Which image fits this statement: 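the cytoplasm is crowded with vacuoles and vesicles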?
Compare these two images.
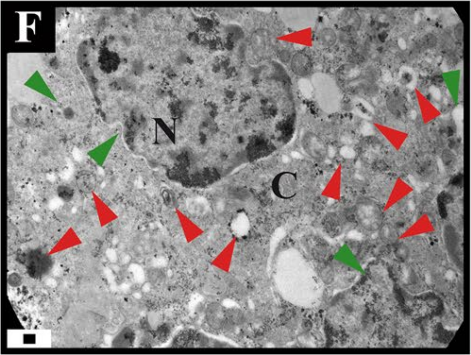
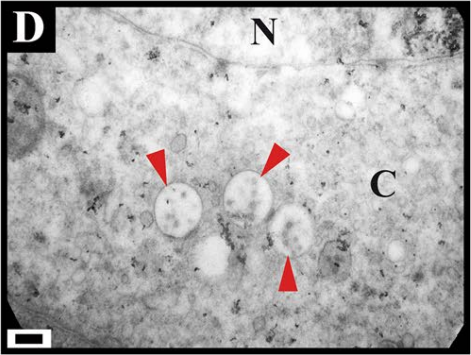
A: the first image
